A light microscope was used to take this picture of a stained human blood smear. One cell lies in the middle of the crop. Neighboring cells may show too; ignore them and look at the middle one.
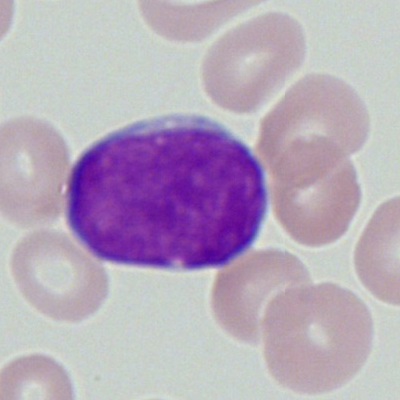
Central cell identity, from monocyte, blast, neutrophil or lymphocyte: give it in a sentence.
For this crop, the central cell is a blast.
